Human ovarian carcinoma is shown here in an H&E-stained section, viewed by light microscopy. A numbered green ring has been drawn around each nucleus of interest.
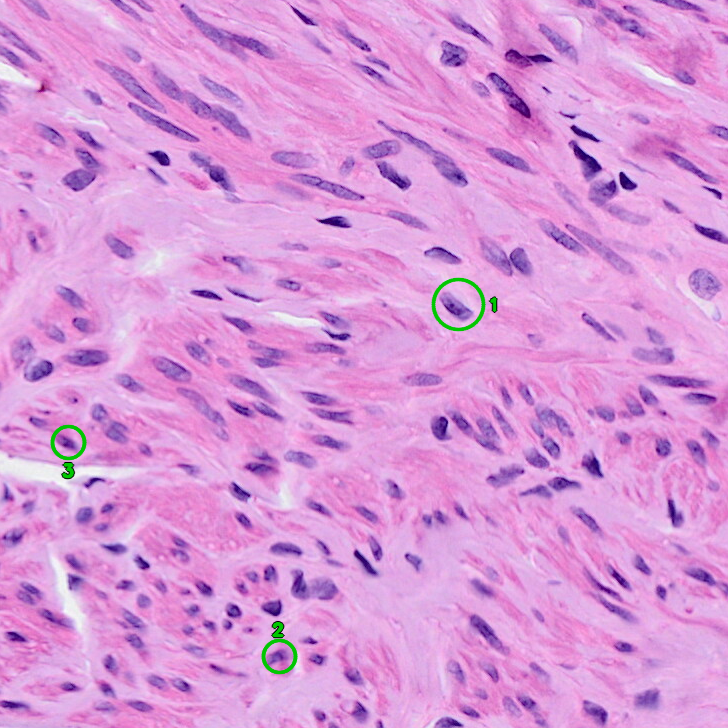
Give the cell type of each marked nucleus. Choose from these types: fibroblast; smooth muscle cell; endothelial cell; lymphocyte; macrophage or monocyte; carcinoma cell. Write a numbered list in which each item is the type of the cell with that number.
1. fibroblast
2. smooth muscle cell
3. smooth muscle cell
